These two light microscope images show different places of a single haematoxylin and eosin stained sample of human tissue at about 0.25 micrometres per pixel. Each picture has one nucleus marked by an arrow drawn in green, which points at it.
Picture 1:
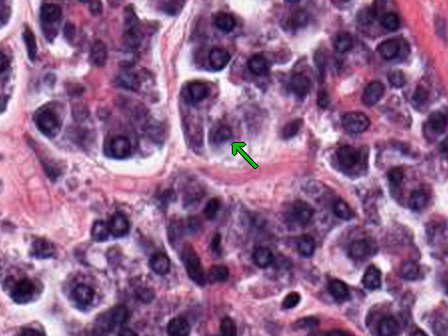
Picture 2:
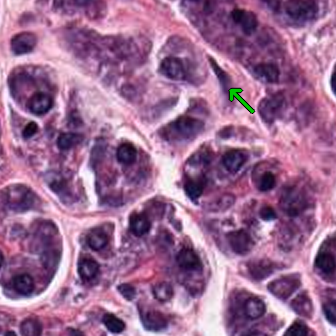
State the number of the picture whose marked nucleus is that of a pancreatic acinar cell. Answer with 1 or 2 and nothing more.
1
